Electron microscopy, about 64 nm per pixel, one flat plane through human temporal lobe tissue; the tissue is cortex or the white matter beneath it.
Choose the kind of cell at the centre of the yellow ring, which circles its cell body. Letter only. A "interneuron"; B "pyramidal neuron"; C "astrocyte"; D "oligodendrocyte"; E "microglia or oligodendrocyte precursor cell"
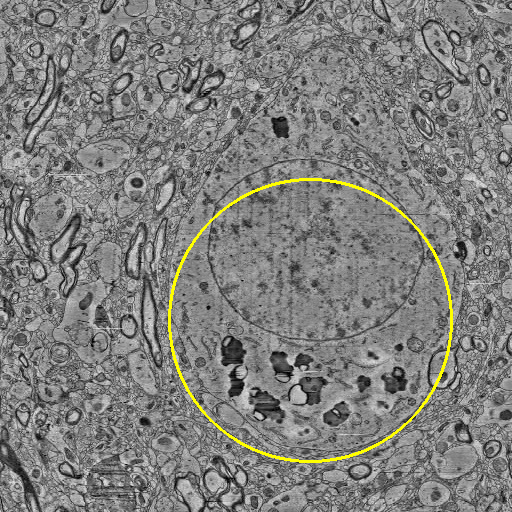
B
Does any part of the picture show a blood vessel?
No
